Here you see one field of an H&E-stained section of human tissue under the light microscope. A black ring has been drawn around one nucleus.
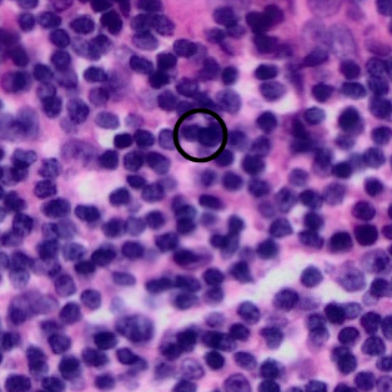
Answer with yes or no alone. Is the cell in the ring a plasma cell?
no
